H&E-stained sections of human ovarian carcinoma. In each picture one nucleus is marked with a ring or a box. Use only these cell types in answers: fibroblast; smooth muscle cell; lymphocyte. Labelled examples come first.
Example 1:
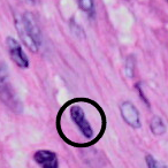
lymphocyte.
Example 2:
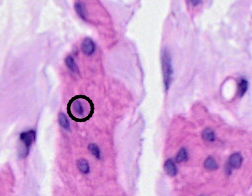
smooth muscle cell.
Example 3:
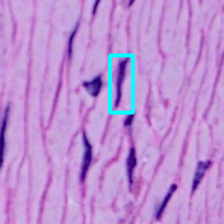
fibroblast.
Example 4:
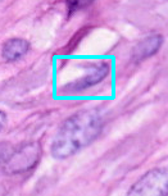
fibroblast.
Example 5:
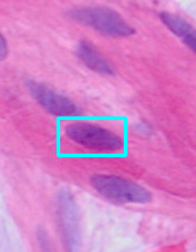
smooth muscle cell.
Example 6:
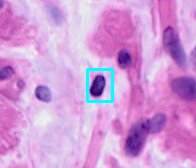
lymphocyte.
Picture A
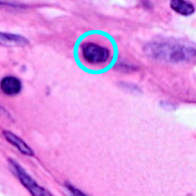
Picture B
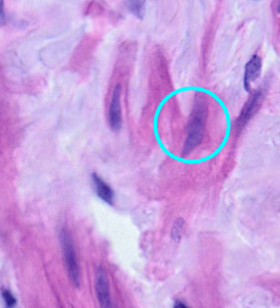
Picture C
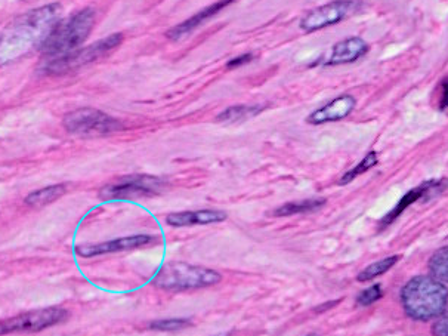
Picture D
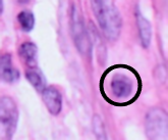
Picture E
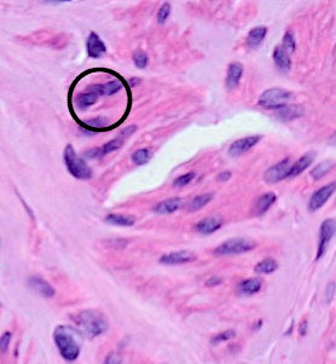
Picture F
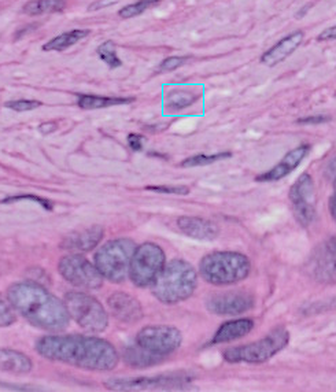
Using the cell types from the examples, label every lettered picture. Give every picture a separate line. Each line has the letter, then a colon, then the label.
A: lymphocyte.
B: smooth muscle cell.
C: fibroblast.
D: lymphocyte.
E: smooth muscle cell.
F: fibroblast.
